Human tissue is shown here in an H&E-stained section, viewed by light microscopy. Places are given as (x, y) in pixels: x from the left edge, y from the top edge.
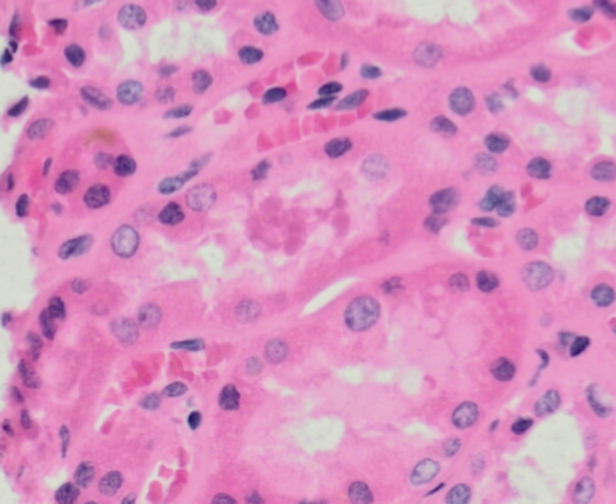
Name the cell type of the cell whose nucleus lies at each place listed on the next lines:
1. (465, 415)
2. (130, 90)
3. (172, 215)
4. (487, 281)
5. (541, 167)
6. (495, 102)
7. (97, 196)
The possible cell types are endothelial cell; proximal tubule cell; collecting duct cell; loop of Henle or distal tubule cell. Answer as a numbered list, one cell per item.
1. proximal tubule cell
2. loop of Henle or distal tubule cell
3. proximal tubule cell
4. proximal tubule cell
5. loop of Henle or distal tubule cell
6. loop of Henle or distal tubule cell
7. proximal tubule cell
